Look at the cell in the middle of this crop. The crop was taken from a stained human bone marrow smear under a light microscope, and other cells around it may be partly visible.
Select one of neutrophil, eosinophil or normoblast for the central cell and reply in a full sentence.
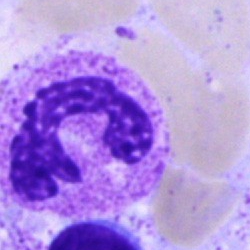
The cell occupying the middle of the crop is a neutrophil.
